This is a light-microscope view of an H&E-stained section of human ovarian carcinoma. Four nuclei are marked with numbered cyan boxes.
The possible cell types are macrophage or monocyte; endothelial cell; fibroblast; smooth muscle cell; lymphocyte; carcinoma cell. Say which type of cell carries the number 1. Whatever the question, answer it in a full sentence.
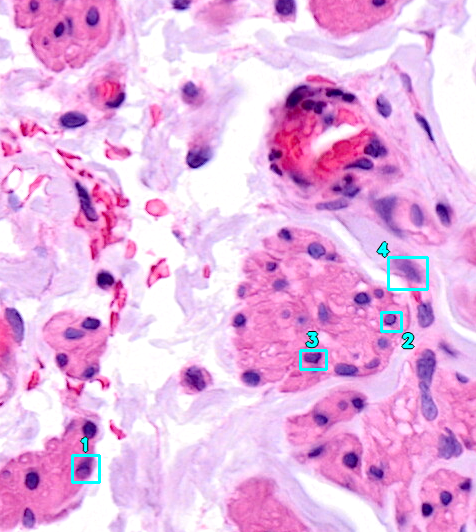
Regarding cell 1, this one is a smooth muscle cell.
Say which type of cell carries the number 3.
The cell whose nucleus carries the number 3 is a smooth muscle cell.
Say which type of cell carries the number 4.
Identified as an endothelial cell is the cell bearing the number 4.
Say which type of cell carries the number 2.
Among the marked nuclei, number 2 belongs to a smooth muscle cell.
